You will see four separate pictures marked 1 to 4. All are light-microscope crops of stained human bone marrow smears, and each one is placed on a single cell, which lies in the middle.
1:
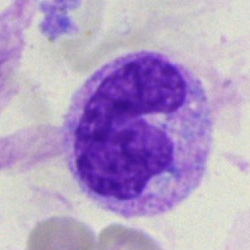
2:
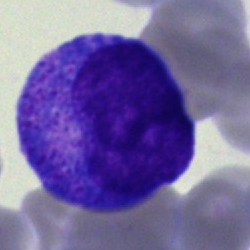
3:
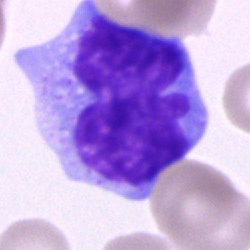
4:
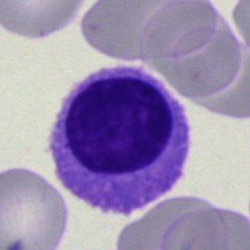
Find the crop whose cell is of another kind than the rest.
2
